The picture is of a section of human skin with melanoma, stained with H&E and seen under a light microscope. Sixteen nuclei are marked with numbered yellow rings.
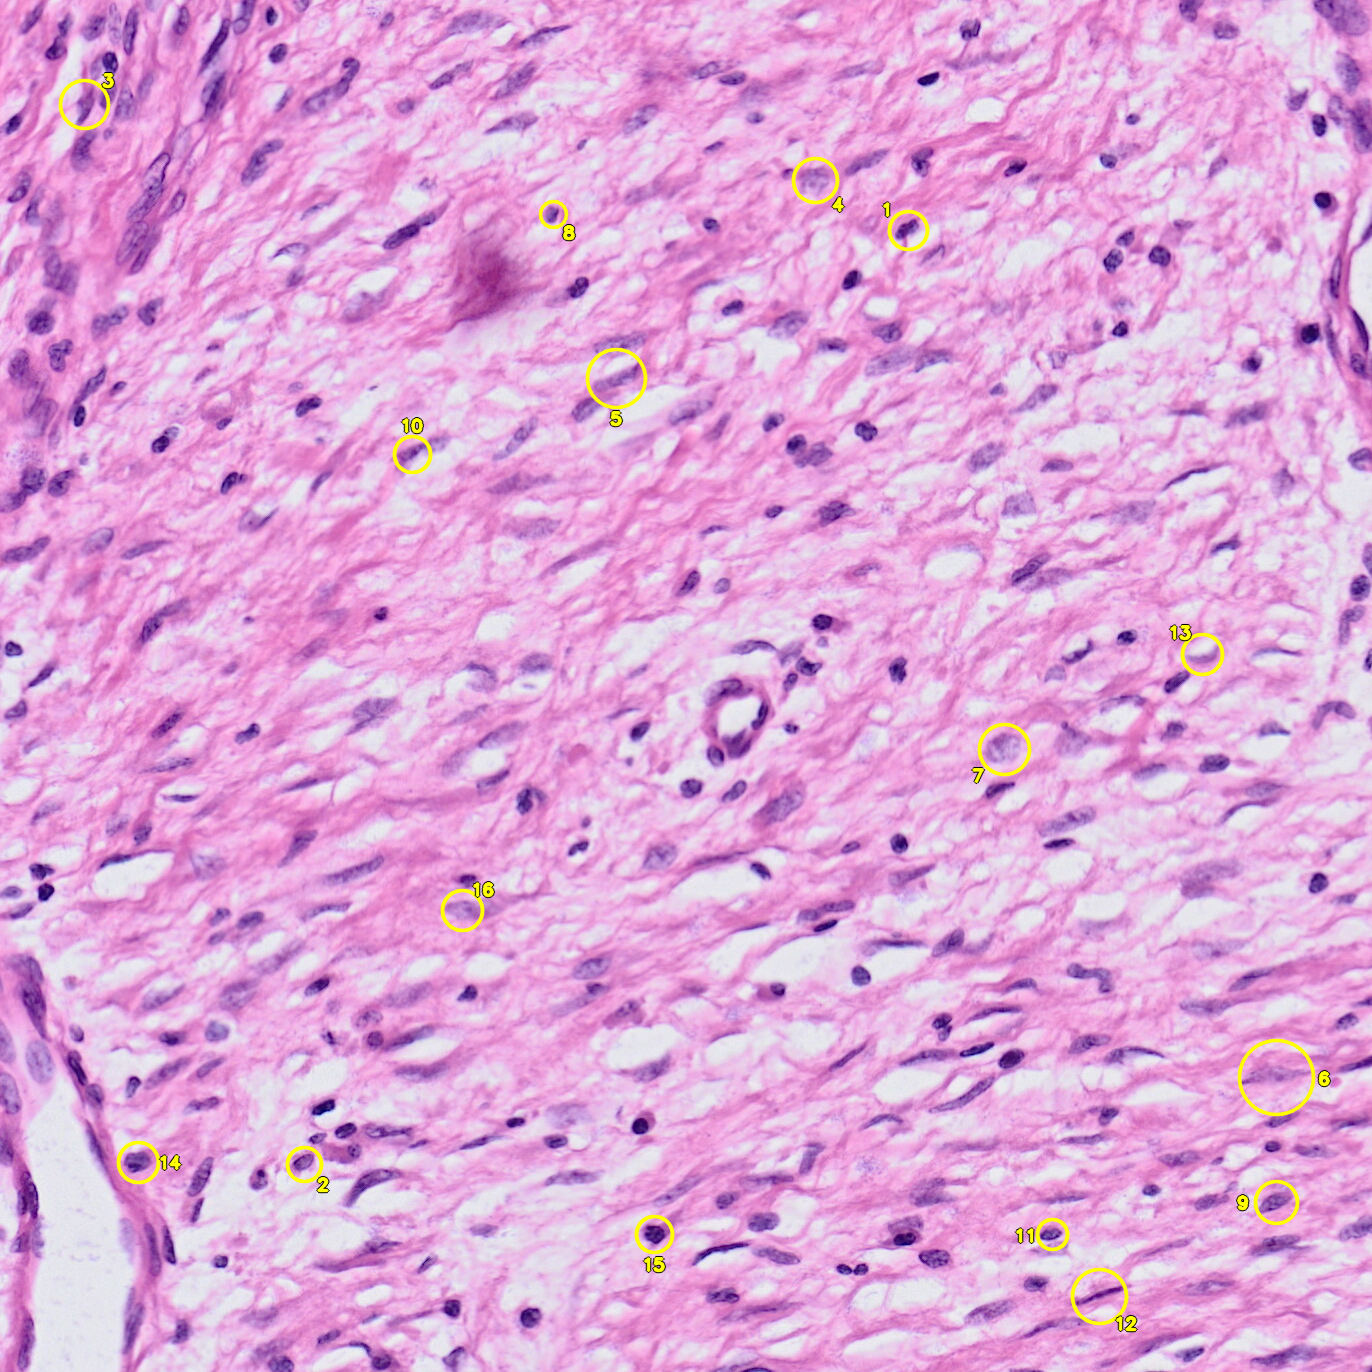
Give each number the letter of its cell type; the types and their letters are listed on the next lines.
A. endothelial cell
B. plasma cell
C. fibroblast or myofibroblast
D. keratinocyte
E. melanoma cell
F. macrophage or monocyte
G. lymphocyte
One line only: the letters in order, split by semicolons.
G; F; C; C; C; C; C; G; F; C; G; C; C; G; B; C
